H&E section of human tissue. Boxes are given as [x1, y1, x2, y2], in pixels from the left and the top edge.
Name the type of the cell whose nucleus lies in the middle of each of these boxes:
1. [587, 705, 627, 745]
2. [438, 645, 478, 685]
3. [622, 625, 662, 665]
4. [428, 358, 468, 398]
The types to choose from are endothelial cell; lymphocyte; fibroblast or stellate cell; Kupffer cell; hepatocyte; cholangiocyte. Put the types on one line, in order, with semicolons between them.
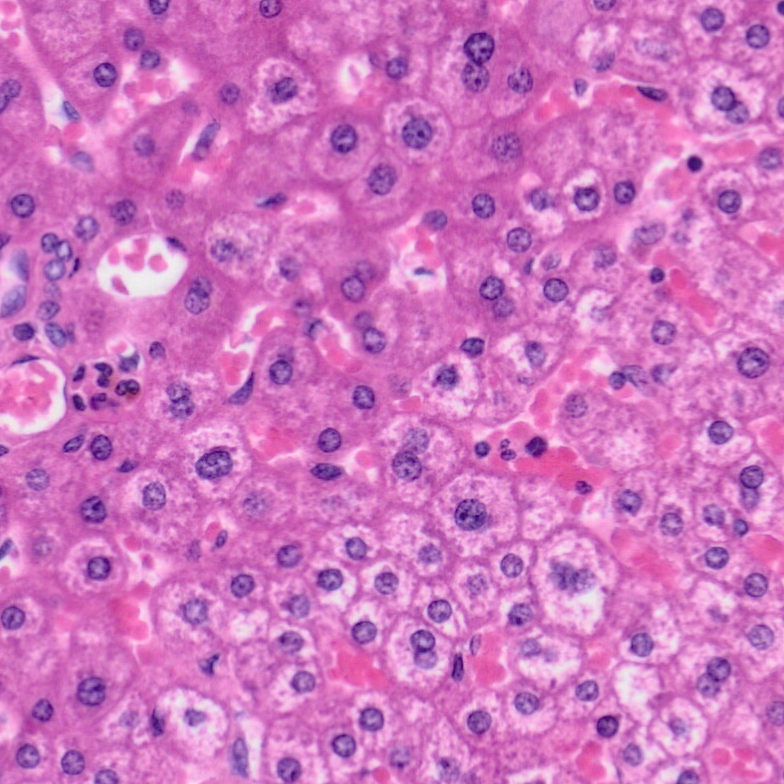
hepatocyte; fibroblast or stellate cell; hepatocyte; hepatocyte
